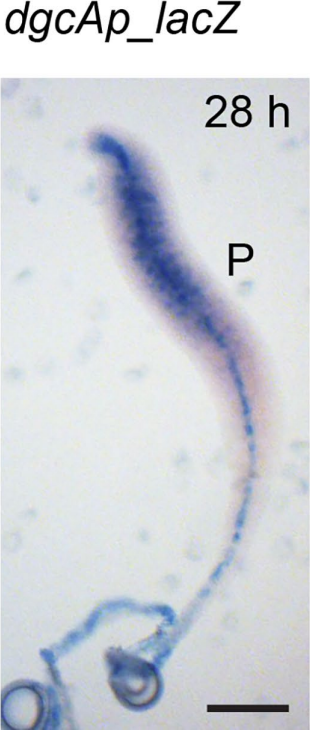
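A single elongated, slightly curved sorogen of a cellular slime mould rises from a thin stalk. The mass of cells is club-shaped, tapering toward the base, with a pale purplish outer zone. Dense blue staining fills a central core running along the length of the sorogen, strongest toward the rounded tip. From the lower end a narrow blue-stained tube, the stalk, trails downward and curves near the substrate; along it the stain appears as a chain of small beads, reflecting the individual cells that line the stalk. Ring-shaped refractile objects lie at the base.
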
